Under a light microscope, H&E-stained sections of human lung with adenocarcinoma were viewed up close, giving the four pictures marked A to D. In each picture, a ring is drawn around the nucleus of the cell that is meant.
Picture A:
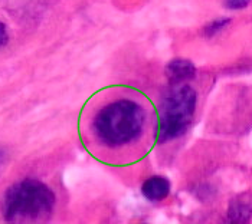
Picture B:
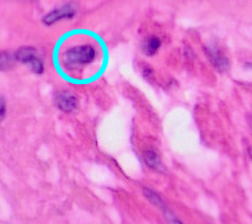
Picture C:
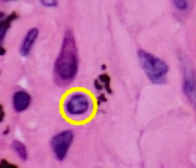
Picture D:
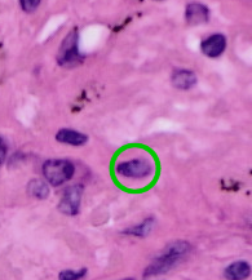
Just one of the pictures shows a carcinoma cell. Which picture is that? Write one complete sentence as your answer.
It is picture A that shows the carcinoma cell.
